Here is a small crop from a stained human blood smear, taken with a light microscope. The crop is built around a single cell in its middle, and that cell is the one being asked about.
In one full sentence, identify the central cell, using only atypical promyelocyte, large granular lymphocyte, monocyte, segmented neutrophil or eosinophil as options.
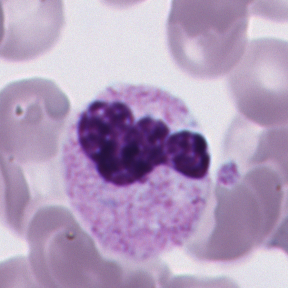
This crop has a segmented neutrophil at its centre.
